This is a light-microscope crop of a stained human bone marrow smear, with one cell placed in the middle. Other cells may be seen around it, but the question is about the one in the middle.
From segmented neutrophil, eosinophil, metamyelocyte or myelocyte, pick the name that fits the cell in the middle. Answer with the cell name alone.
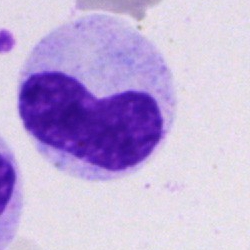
metamyelocyte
